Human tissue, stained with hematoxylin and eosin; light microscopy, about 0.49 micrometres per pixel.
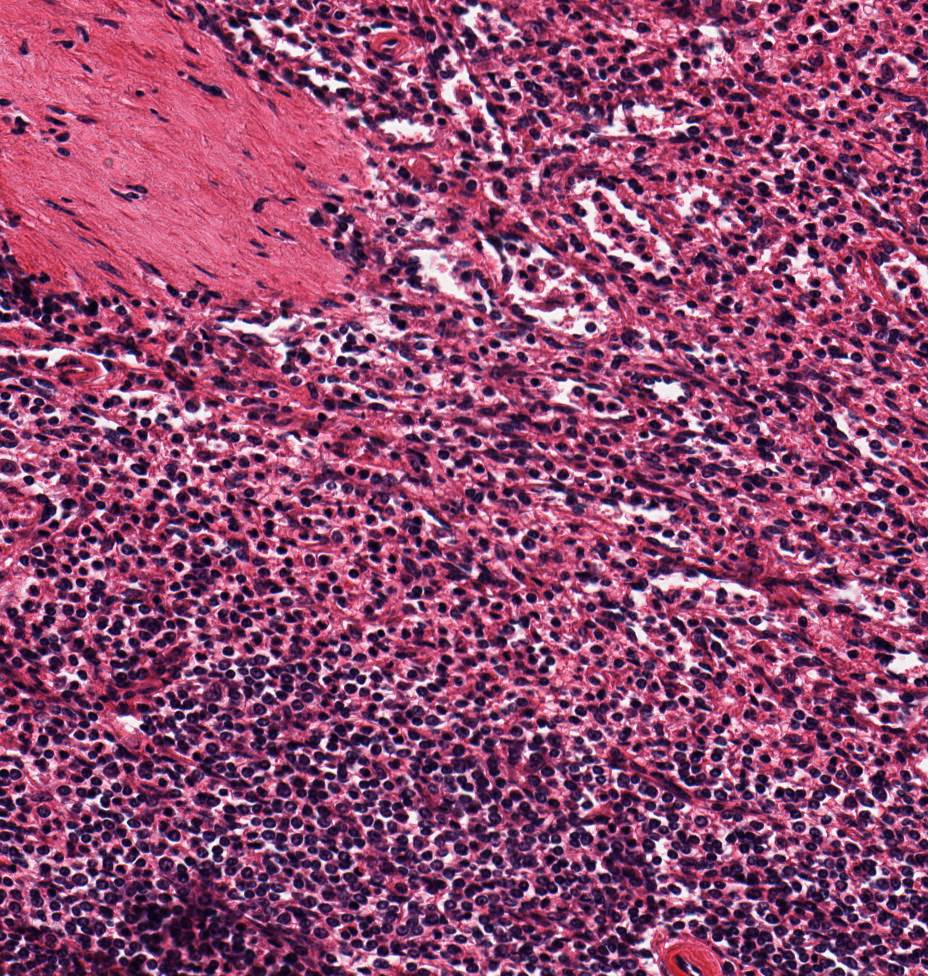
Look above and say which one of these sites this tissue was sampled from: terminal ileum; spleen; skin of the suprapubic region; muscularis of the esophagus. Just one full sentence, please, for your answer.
This section represents tissue sampled from the spleen.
